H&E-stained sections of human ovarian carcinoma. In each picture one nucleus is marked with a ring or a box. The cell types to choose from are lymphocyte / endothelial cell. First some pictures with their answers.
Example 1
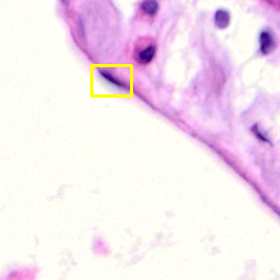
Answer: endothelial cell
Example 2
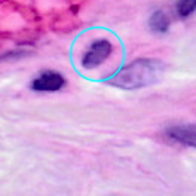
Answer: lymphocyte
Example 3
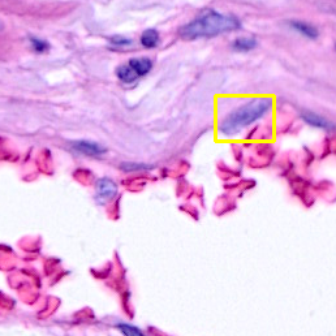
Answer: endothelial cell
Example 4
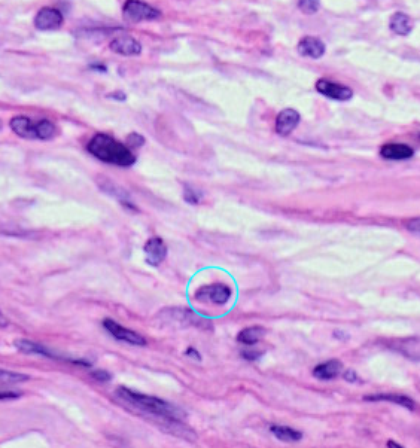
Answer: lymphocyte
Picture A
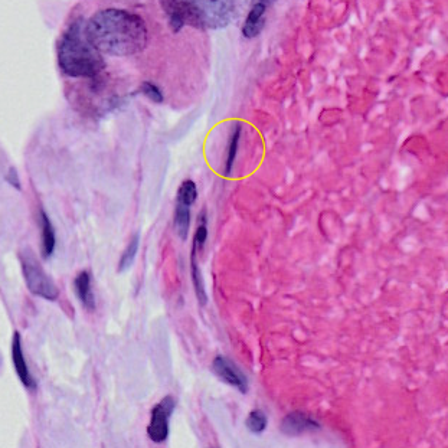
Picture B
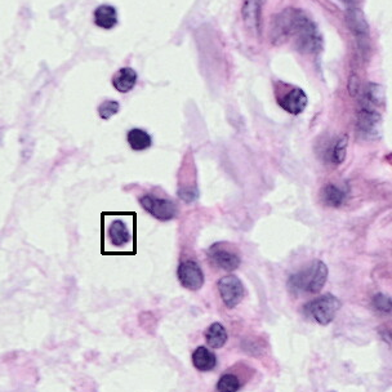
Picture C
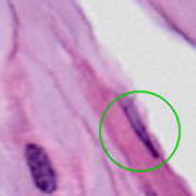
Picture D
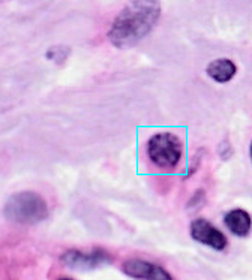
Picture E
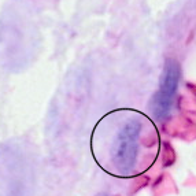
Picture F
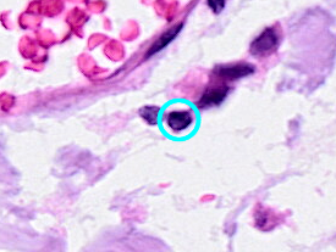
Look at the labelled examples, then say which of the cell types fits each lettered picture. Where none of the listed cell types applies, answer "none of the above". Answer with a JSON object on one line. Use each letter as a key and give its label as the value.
{"A": "endothelial cell", "B": "lymphocyte", "C": "none of the above", "D": "lymphocyte", "E": "endothelial cell", "F": "lymphocyte"}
